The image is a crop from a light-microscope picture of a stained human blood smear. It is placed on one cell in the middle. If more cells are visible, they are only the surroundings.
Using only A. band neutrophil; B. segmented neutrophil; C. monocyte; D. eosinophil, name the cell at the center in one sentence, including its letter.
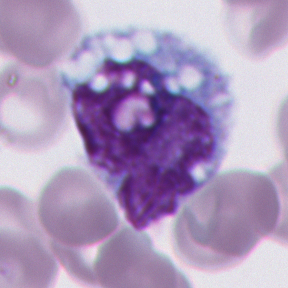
Option C is the correct selection, for the cell at the centre is a monocyte.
